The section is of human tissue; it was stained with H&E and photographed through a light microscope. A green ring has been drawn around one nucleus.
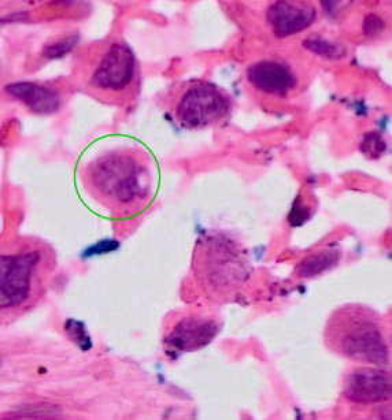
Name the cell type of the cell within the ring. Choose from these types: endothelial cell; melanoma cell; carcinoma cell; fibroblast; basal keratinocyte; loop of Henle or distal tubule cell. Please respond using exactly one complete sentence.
Speaking plainly, the cell within the ring is nothing other than a carcinoma cell.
